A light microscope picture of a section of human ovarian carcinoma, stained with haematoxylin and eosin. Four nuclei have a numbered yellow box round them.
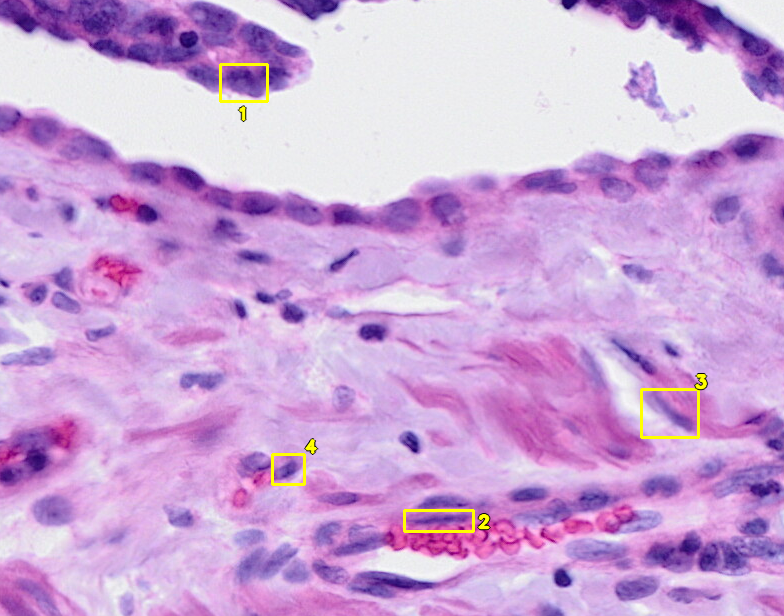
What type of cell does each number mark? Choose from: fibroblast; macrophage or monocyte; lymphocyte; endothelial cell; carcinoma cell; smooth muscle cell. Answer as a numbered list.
1. carcinoma cell
2. endothelial cell
3. smooth muscle cell
4. endothelial cell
